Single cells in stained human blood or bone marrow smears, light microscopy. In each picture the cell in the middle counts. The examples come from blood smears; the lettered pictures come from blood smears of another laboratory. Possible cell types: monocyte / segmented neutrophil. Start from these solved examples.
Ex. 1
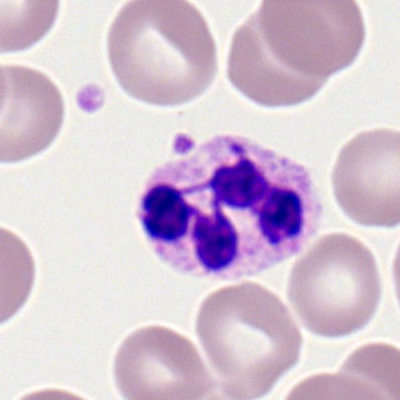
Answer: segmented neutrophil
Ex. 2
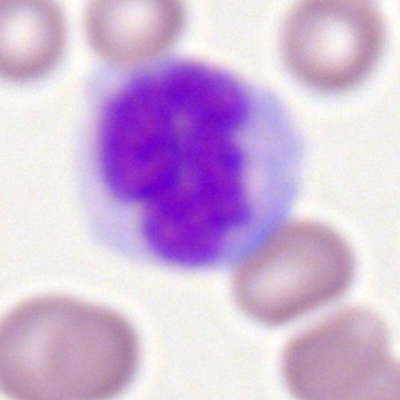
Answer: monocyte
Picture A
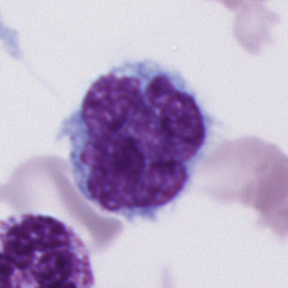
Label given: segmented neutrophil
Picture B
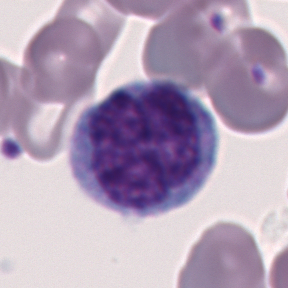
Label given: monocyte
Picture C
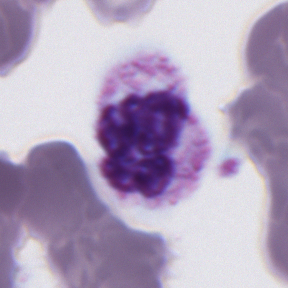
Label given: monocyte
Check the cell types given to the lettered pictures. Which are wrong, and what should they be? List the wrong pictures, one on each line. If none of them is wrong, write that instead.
A is labelled segmented neutrophil; correct label: monocyte
C is labelled monocyte; correct label: segmented neutrophil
